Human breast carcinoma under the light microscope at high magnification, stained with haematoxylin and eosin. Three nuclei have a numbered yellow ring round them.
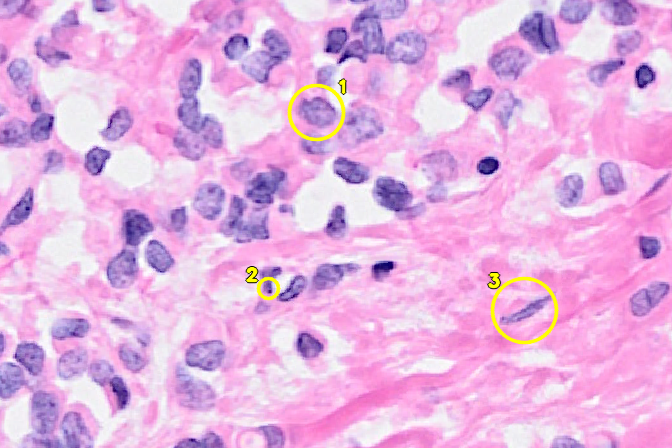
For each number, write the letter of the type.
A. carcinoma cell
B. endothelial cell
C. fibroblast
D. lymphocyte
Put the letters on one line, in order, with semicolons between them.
A; B; C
